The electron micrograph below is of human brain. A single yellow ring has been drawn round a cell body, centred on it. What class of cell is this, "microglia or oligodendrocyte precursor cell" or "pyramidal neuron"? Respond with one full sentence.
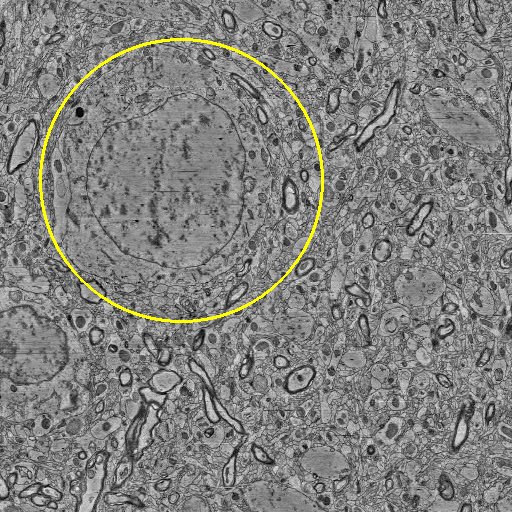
In the micrograph, the cell centred inside the yellow ring is a pyramidal neuron.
